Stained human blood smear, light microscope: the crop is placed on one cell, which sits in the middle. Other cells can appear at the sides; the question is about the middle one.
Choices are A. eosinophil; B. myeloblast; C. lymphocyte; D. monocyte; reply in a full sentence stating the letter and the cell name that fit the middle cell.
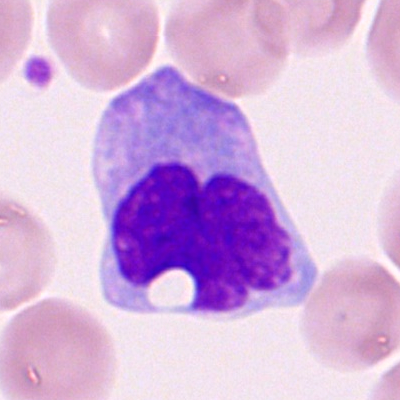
The middle of the crop holds a monocyte, which points to option D.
